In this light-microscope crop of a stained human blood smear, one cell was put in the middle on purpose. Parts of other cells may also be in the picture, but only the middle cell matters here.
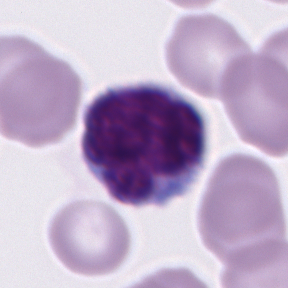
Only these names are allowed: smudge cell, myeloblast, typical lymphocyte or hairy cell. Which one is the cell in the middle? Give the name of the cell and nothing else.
typical lymphocyte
